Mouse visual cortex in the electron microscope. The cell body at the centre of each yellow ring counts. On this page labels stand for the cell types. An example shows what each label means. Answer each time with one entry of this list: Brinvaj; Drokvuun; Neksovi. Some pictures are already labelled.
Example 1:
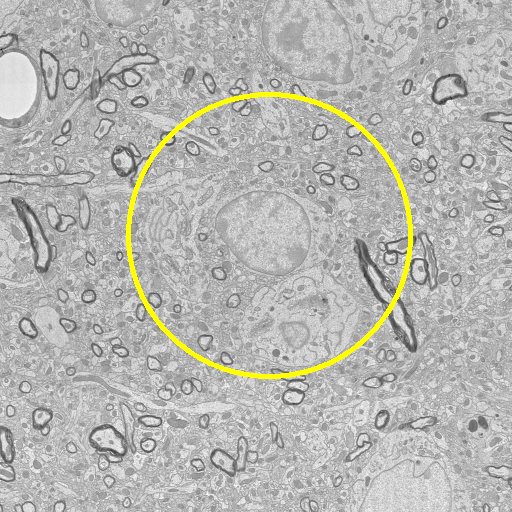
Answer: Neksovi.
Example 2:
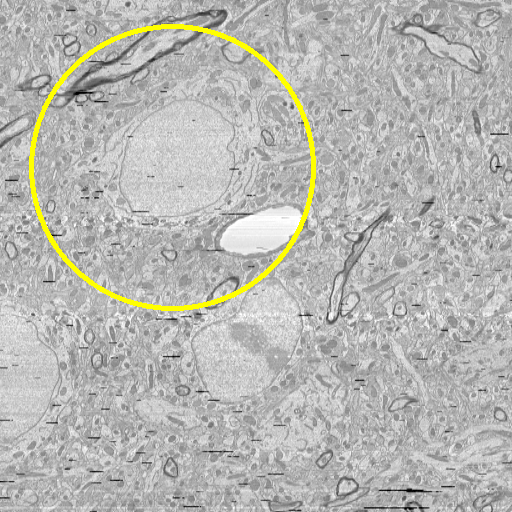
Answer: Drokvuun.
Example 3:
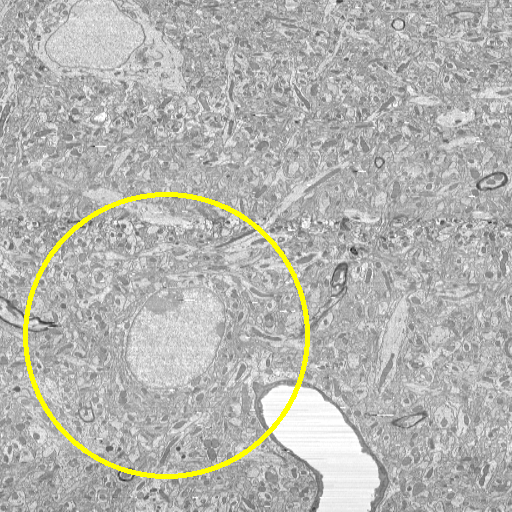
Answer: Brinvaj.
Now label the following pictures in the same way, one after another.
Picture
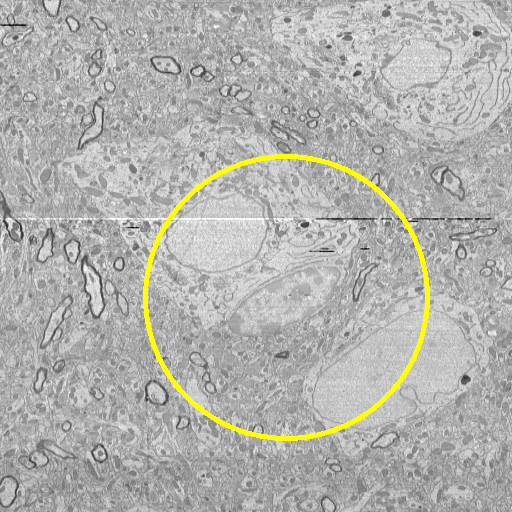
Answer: Neksovi.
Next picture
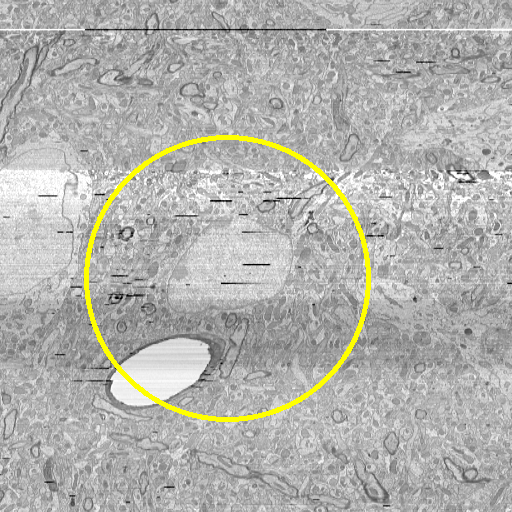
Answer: Brinvaj.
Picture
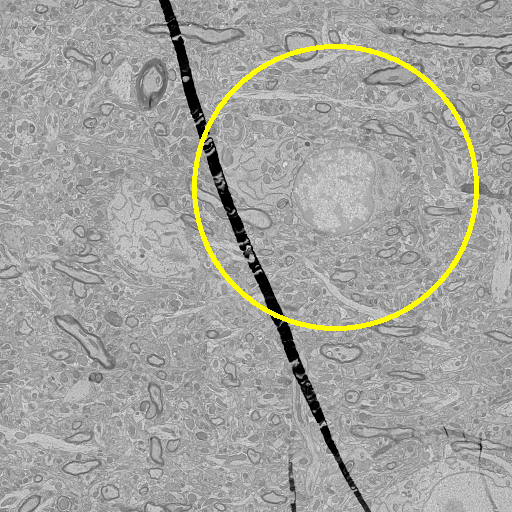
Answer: Neksovi.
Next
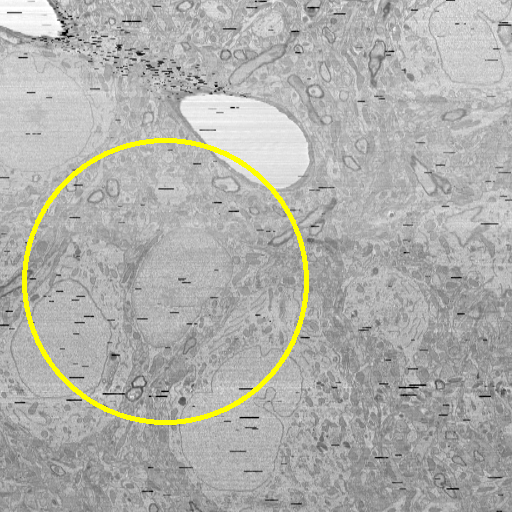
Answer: Brinvaj.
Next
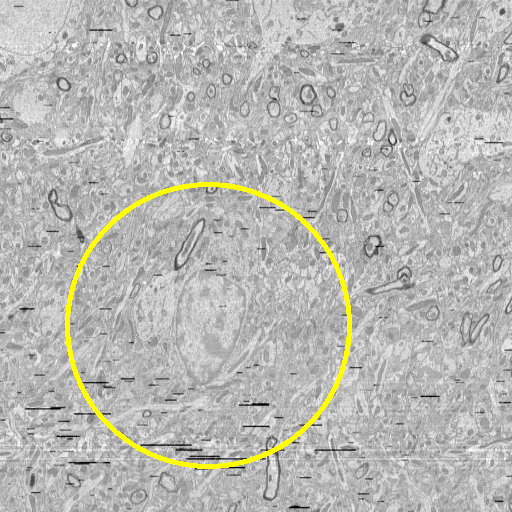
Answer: Neksovi.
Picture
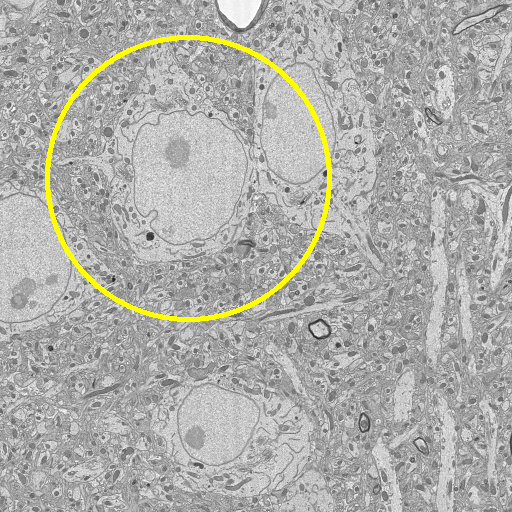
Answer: Drokvuun.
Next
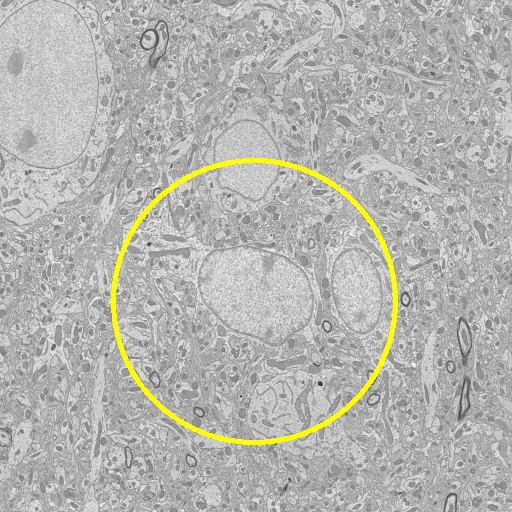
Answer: Brinvaj.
